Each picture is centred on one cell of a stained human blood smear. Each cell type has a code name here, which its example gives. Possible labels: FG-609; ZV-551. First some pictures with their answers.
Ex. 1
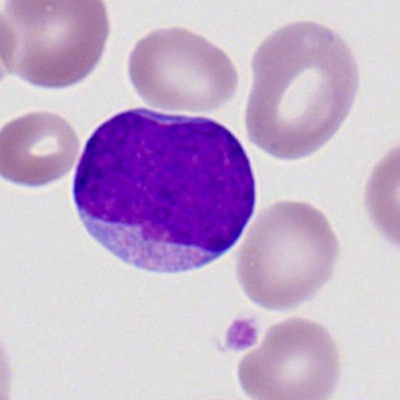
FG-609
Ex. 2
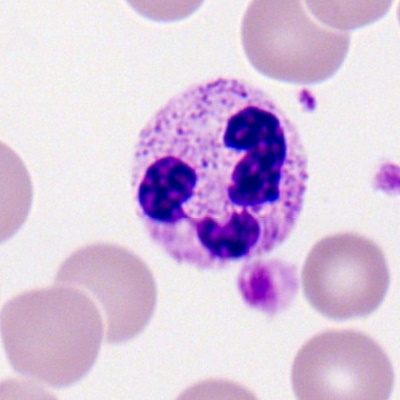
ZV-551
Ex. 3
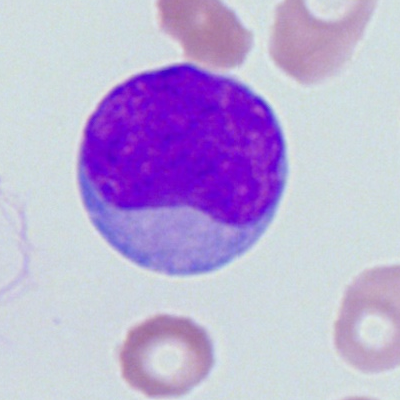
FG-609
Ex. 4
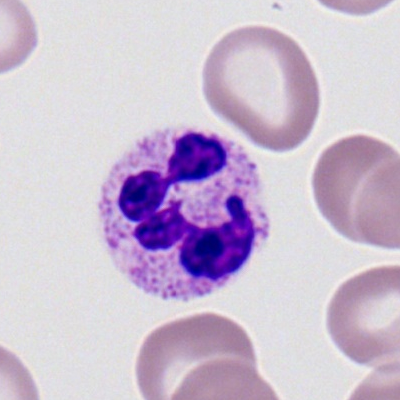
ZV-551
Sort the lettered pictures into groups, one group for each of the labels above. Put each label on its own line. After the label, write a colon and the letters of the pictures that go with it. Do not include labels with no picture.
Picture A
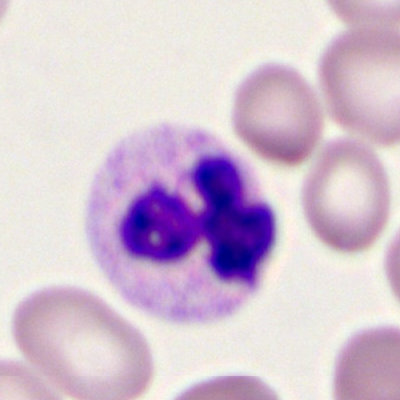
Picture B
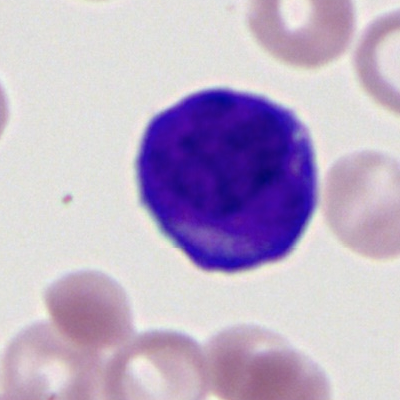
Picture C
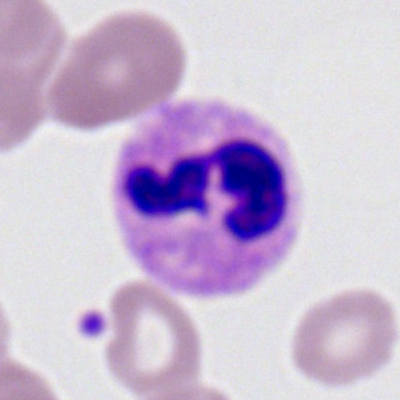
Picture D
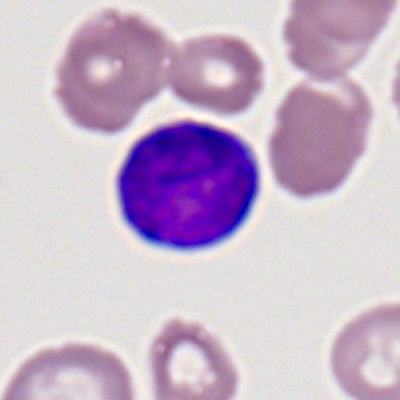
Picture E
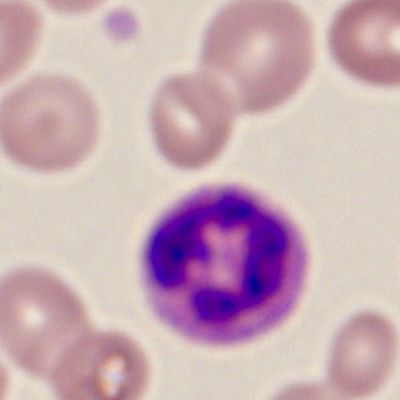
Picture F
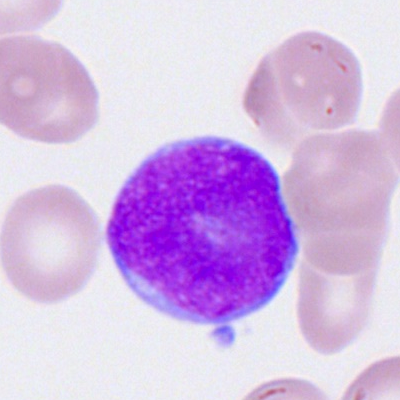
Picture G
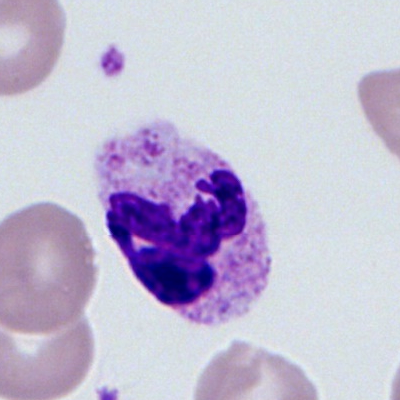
FG-609: B, D, F
ZV-551: A, C, E, G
